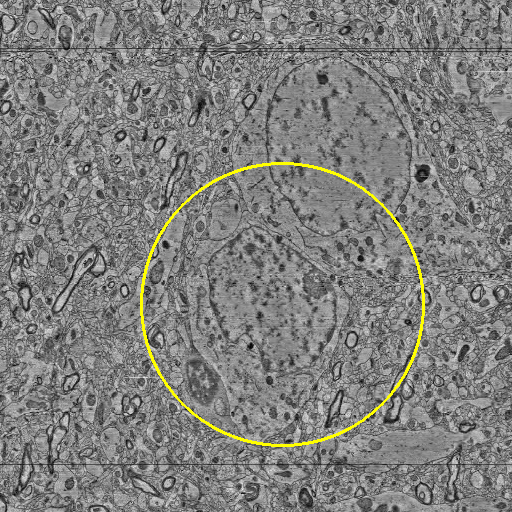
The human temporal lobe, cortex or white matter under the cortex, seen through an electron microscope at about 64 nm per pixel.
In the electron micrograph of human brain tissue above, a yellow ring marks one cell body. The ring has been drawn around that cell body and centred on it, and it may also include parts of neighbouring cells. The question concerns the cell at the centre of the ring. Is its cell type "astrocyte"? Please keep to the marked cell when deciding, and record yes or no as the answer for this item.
no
